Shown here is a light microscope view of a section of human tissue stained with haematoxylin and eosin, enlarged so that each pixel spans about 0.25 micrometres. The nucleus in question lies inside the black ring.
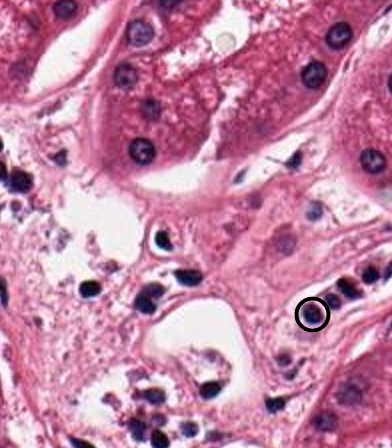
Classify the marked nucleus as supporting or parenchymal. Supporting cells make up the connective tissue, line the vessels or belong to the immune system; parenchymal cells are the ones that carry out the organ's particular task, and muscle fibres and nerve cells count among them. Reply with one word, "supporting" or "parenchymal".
supporting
